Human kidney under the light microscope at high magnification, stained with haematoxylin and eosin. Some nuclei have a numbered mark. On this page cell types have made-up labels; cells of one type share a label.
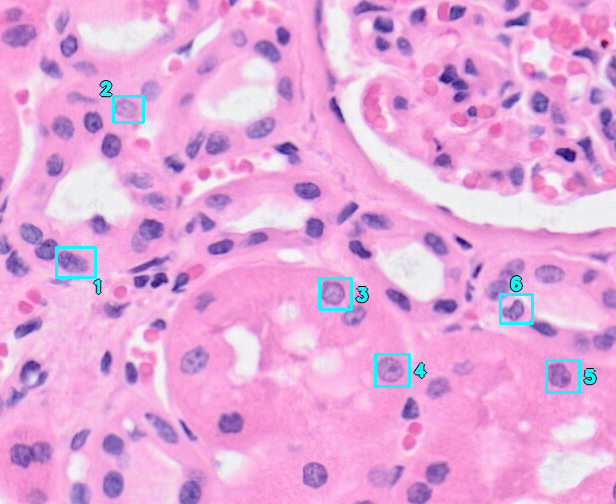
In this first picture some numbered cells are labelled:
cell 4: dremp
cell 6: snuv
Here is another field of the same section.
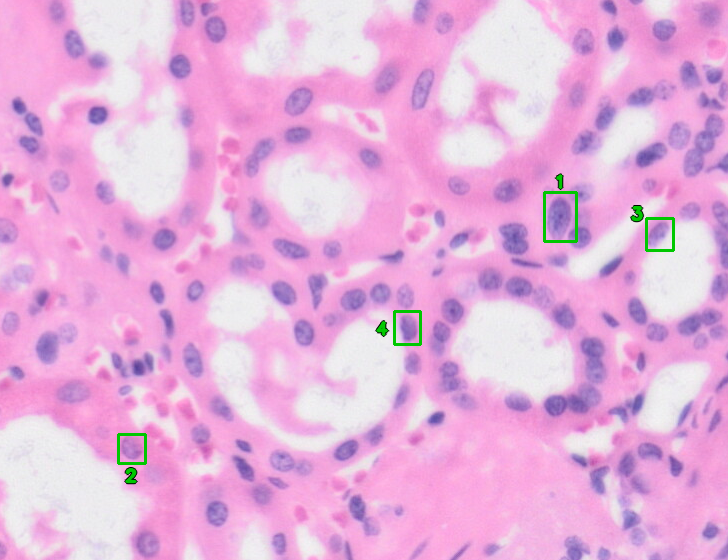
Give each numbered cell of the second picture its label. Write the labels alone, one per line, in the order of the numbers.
snuv
dremp
snuv
snuv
